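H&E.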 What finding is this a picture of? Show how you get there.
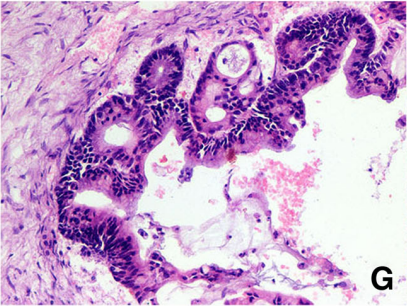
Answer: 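Dark, elongated nuclei sit at different heights in the lining. Nuclei are crowded along the gland epithelium.
Answer: pseudostratification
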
